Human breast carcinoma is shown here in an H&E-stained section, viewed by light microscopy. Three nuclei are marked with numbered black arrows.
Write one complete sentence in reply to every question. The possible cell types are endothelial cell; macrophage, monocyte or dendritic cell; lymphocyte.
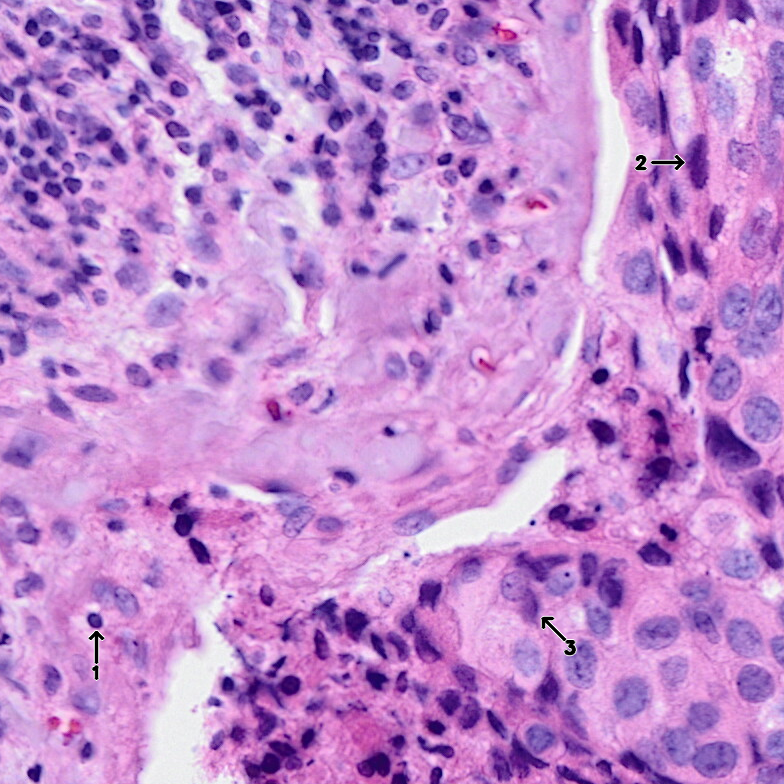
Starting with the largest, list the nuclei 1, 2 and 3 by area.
From largest to smallest, the order is 2, 3, 1.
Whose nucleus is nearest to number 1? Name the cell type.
It is an endothelial cell whose nucleus is nearest to number 1.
